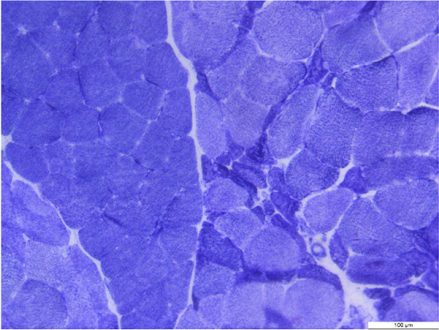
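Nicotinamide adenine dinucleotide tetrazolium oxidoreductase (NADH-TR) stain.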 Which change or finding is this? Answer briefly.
Grouping of myofibers.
